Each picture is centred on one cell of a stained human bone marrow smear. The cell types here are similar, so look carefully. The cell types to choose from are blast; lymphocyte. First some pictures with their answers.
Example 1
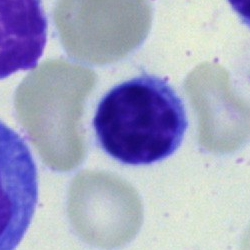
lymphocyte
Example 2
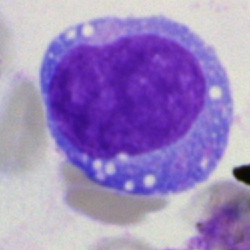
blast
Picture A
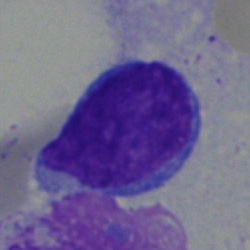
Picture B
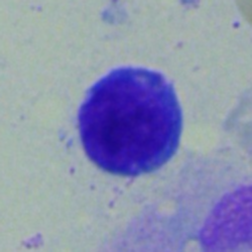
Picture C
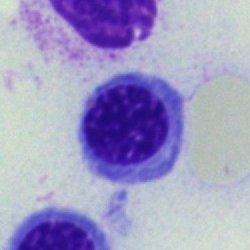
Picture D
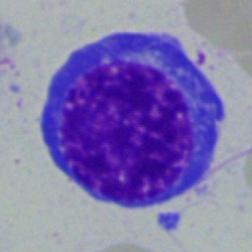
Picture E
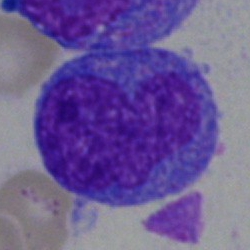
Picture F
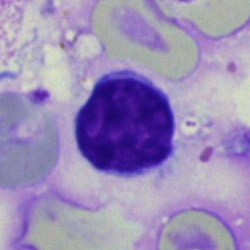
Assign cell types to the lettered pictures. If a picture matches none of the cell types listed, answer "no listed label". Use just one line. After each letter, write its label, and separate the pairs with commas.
A blast, B lymphocyte, C no listed label, D no listed label, E blast, F lymphocyte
